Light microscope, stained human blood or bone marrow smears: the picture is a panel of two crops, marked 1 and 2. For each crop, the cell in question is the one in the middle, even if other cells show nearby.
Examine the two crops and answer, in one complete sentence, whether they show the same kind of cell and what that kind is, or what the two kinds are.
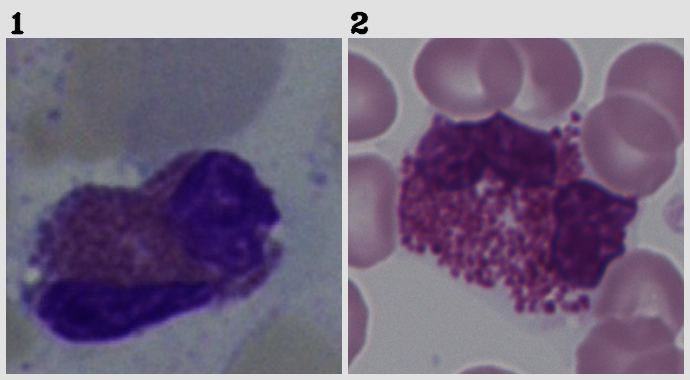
Yes, the cells in the centres of the two crops are eosinophils.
